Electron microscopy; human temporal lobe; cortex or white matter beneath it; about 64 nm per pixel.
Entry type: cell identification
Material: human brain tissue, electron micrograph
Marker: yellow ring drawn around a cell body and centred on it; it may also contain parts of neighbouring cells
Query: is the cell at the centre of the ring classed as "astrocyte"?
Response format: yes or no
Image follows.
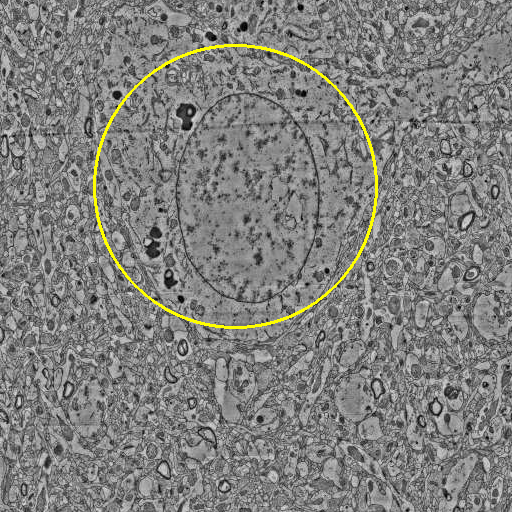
no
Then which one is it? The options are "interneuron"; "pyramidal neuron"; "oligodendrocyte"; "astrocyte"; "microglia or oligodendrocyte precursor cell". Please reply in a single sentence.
The cell marked by the ring is a pyramidal neuron.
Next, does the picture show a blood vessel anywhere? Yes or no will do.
No.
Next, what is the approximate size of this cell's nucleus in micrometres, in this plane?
The nucleus is approximately 13 micrometers long by 9 micrometers wide in this plane.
